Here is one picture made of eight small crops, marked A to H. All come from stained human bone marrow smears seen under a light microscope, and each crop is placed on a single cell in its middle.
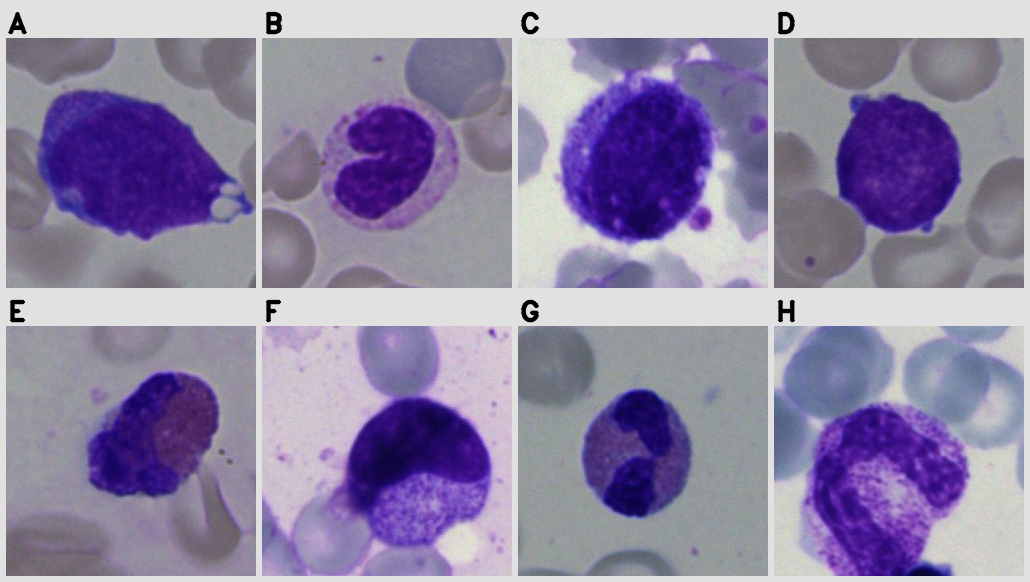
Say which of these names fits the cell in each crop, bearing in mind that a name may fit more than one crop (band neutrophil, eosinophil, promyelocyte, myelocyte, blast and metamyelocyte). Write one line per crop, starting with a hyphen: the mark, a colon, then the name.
- A: blast
- B: band neutrophil
- C: promyelocyte
- D: blast
- E: eosinophil
- F: metamyelocyte
- G: eosinophil
- H: band neutrophil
